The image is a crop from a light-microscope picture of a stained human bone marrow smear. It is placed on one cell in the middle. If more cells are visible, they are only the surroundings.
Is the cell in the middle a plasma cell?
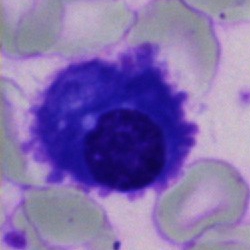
yes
